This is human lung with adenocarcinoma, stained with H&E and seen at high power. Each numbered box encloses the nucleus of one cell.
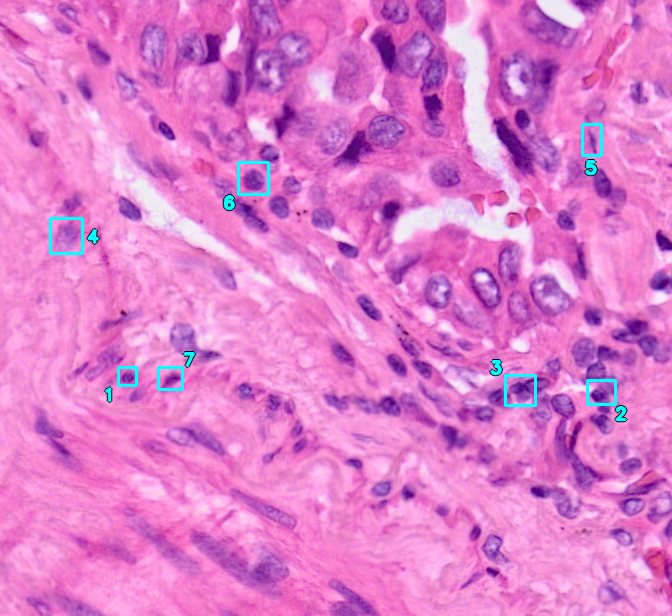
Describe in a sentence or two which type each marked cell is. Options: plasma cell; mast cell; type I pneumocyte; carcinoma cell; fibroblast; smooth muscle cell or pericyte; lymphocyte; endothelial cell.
Cells 1, 4 and 7 are smooth muscle cells or pericytes. Cells 2, 3 and 6 are lymphocytes. Cell 5 is a fibroblast.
